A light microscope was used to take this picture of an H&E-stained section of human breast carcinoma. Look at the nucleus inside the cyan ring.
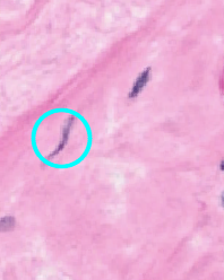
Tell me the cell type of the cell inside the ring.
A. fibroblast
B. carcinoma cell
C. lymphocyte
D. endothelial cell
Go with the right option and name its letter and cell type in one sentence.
In the section, the cell inside the ring is a fibroblast, and option A is correct accordingly.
